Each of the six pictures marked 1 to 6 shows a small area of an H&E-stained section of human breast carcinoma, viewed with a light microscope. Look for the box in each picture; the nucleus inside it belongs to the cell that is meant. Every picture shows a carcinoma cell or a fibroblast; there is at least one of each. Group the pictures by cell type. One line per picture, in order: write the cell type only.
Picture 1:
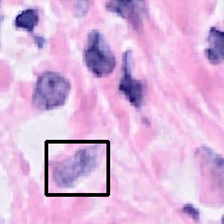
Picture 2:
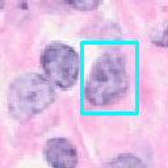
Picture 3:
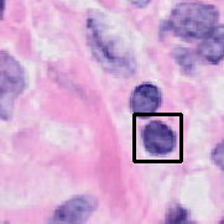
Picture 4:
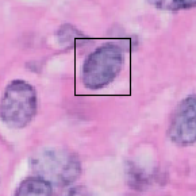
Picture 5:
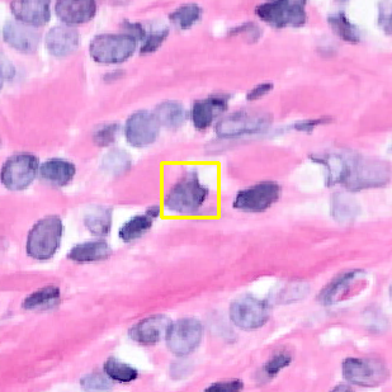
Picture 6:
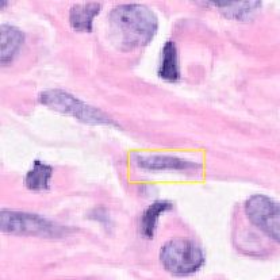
fibroblast
carcinoma cell
carcinoma cell
carcinoma cell
carcinoma cell
fibroblast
